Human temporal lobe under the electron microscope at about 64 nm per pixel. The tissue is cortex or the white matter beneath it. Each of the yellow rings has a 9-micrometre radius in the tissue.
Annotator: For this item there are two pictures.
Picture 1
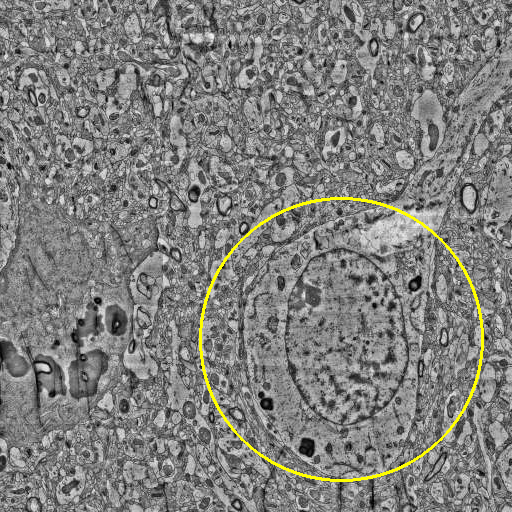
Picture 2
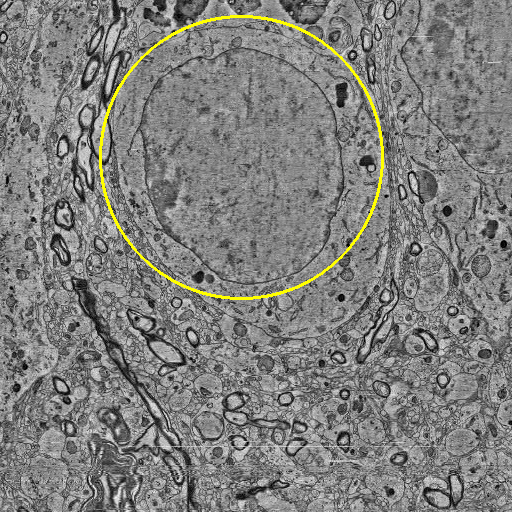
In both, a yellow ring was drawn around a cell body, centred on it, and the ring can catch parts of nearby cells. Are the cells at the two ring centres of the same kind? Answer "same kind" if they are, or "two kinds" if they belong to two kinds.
same kind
